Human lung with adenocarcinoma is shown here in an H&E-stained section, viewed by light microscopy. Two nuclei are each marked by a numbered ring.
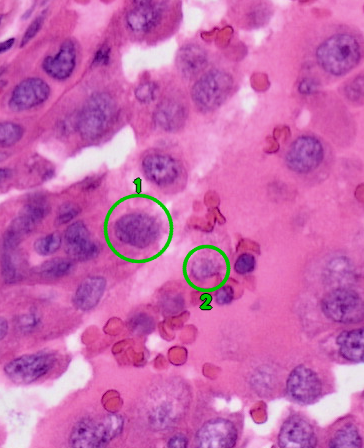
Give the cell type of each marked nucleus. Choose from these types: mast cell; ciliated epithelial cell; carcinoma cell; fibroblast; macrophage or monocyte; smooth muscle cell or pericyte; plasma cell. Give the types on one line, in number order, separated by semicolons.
carcinoma cell; macrophage or monocyte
